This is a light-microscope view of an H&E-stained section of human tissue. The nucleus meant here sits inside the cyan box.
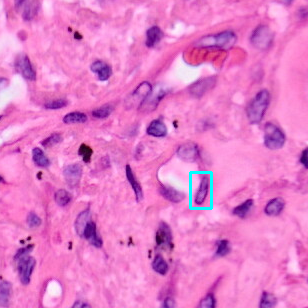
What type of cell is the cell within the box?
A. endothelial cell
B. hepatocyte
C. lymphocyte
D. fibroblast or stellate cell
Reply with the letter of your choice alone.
A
